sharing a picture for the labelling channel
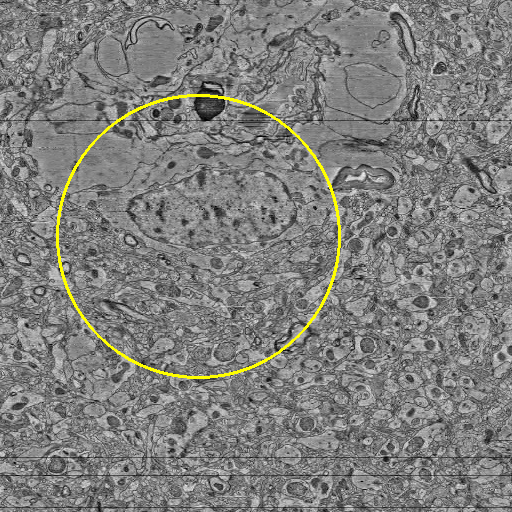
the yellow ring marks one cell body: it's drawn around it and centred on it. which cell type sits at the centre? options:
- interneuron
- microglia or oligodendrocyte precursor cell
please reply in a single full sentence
In the picture, the cell at the ring's centre is a microglial cell or oligodendrocyte precursor cell, going by the list.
